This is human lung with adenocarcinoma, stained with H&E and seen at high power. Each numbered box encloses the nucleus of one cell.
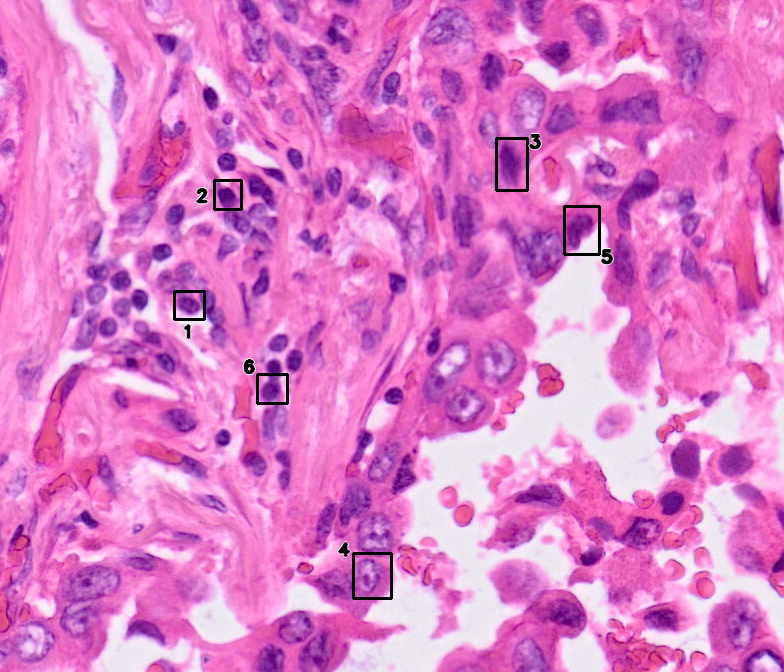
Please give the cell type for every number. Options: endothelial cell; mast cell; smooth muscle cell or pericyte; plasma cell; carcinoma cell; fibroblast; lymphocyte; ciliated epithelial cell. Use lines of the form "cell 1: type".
cell 1: lymphocyte
cell 2: lymphocyte
cell 3: carcinoma cell
cell 4: carcinoma cell
cell 5: carcinoma cell
cell 6: lymphocyte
